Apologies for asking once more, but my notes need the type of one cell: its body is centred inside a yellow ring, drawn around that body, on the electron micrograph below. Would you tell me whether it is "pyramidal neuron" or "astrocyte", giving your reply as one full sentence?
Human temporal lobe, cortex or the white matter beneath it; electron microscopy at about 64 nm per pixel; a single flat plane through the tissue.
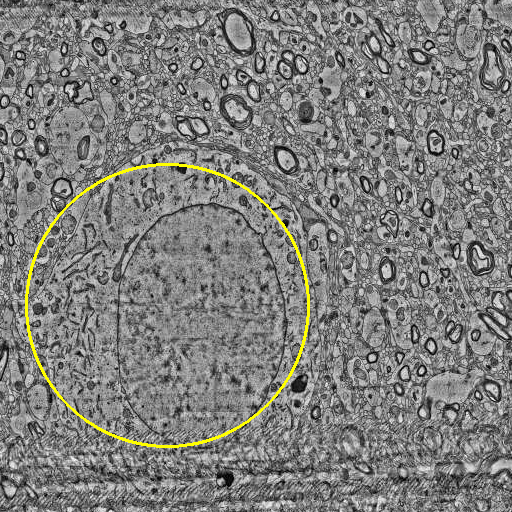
The cell that the yellow ring is centred on is a pyramidal neuron in this micrograph.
